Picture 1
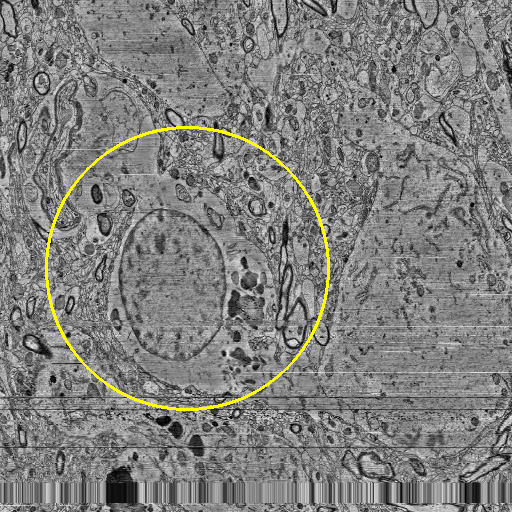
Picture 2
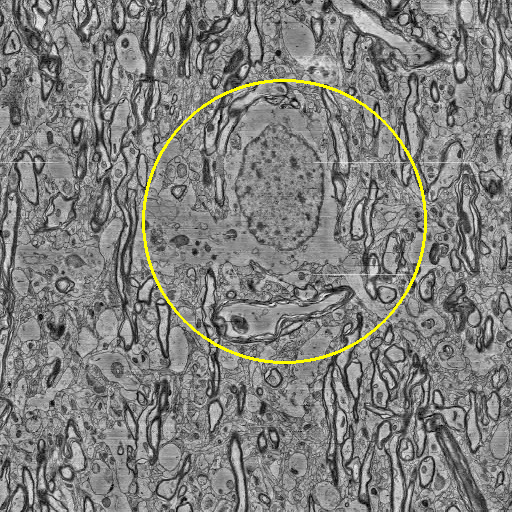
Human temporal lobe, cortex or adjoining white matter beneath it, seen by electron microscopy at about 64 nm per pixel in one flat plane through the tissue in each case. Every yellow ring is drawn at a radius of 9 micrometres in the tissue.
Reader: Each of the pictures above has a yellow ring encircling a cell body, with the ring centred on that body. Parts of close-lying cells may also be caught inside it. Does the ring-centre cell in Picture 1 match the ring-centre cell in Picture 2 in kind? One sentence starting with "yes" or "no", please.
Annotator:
Yes, Picture 1 and Picture 2 show ring-centre cells of a single kind.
